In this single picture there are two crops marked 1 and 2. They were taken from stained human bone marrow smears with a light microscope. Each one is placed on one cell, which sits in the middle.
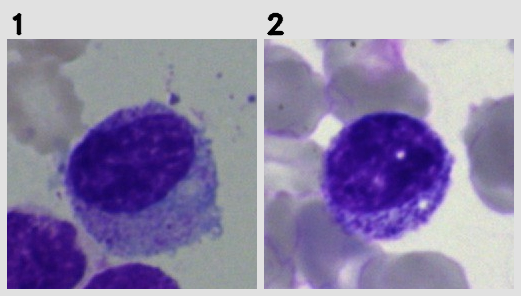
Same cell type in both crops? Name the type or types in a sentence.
Yes, the cells in the centres of the two crops are myelocytes.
